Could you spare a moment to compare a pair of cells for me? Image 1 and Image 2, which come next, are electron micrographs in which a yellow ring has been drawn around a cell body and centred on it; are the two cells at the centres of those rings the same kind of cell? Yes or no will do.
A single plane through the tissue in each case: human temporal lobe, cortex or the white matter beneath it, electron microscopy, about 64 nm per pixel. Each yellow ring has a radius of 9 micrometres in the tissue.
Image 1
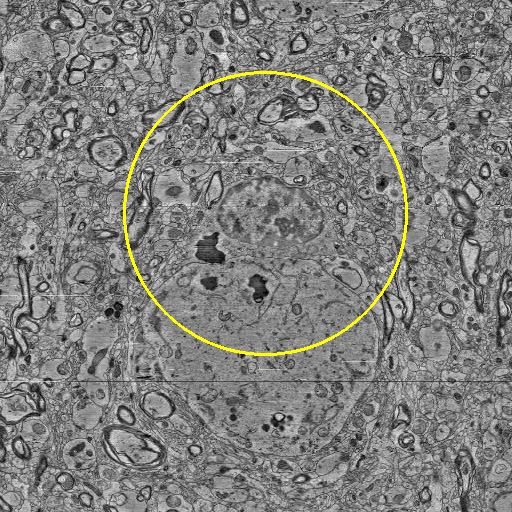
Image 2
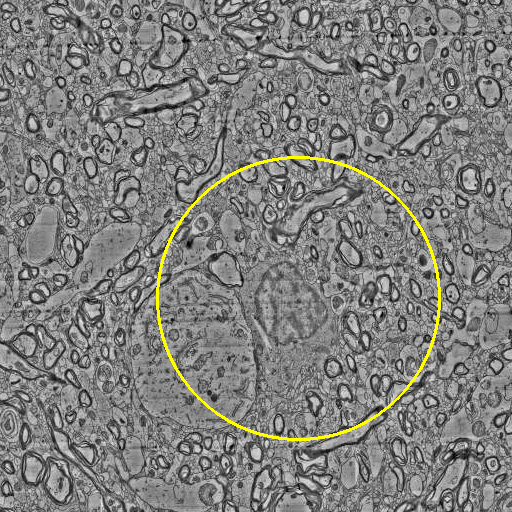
yes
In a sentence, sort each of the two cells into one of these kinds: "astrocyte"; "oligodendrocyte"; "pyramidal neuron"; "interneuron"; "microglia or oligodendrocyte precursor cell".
Each of the two pictures has an oligodendrocyte at the ring centre.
